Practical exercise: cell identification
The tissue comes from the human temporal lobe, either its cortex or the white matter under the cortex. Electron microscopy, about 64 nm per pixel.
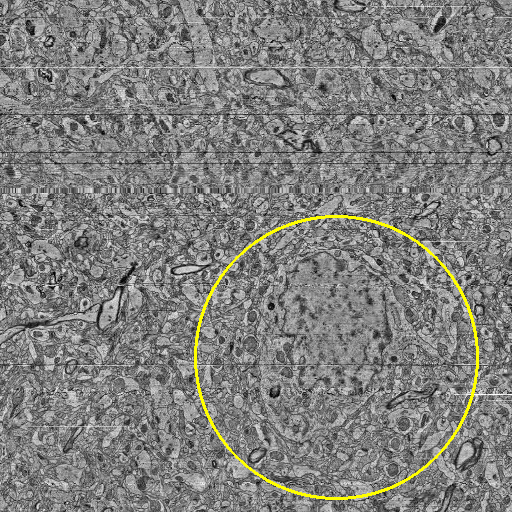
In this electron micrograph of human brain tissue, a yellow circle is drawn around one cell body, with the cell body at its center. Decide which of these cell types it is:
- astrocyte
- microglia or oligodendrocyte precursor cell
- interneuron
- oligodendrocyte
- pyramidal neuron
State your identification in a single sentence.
The ringed cell is an interneuron.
